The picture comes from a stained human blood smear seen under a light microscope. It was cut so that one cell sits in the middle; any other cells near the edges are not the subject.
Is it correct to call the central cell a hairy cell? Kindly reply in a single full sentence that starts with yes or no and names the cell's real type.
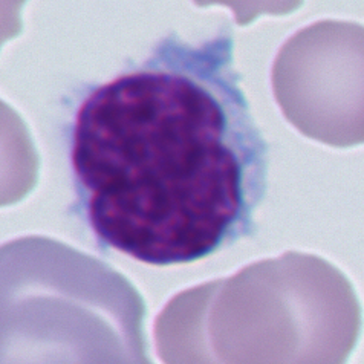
Yes, the cell at the centre of this crop is identified as a hairy cell.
